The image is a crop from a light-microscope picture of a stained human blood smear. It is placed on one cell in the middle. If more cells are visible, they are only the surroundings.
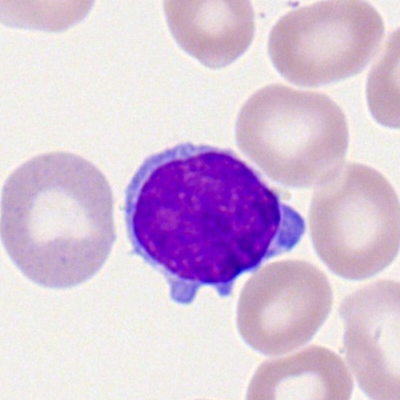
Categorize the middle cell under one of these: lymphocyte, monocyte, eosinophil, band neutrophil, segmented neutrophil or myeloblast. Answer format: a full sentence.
Centred in the crop is a lymphocyte.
